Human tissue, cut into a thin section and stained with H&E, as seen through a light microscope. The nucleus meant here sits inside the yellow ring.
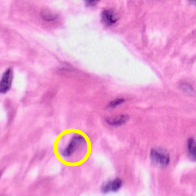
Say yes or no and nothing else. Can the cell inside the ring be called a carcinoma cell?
no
